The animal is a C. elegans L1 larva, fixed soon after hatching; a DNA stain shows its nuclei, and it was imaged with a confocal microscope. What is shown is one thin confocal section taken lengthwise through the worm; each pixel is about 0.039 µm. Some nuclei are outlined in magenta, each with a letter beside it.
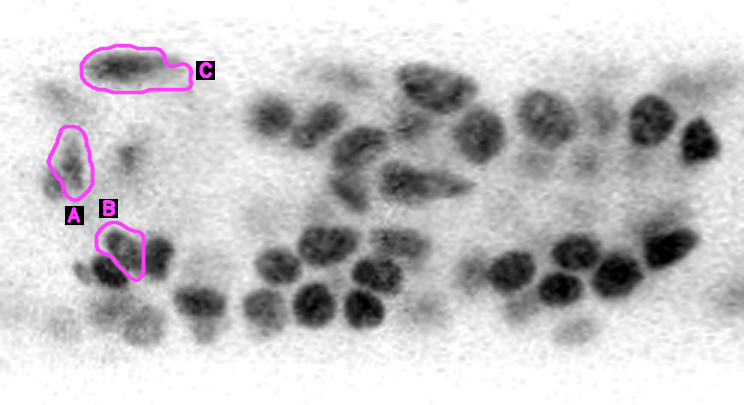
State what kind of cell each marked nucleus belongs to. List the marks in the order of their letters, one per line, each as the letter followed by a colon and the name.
A: valve cell of the gut
B: pharyngeal muscle cell
C: body wall muscle cell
